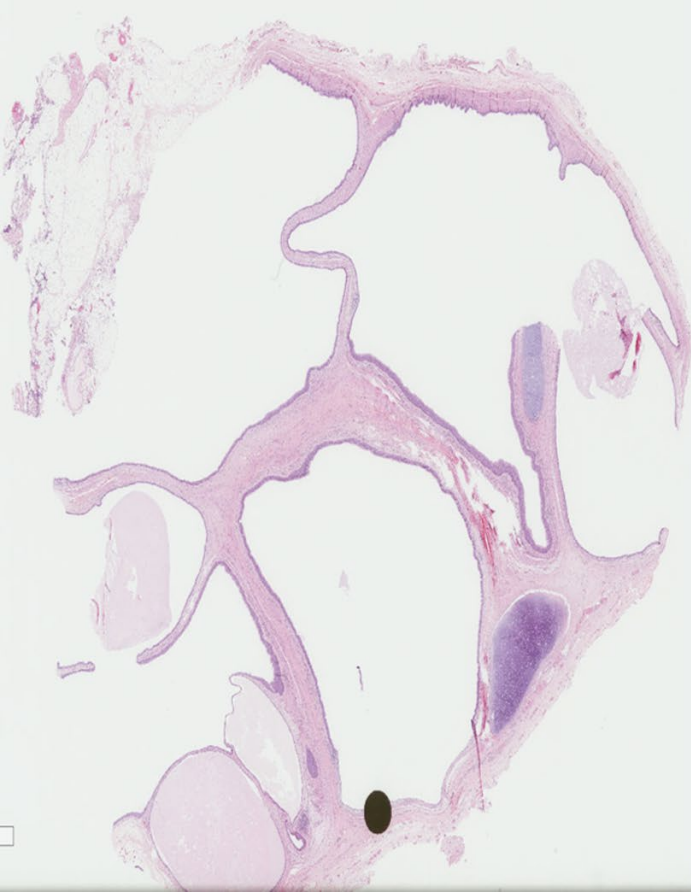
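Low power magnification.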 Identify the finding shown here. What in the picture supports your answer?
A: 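Several large empty spaces are separated by thin fibrous walls. A thin lining covers the inner surface of the walls. Dark purple nodules of cartilage lie within the walls. On this evidence: multicystic lesion.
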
